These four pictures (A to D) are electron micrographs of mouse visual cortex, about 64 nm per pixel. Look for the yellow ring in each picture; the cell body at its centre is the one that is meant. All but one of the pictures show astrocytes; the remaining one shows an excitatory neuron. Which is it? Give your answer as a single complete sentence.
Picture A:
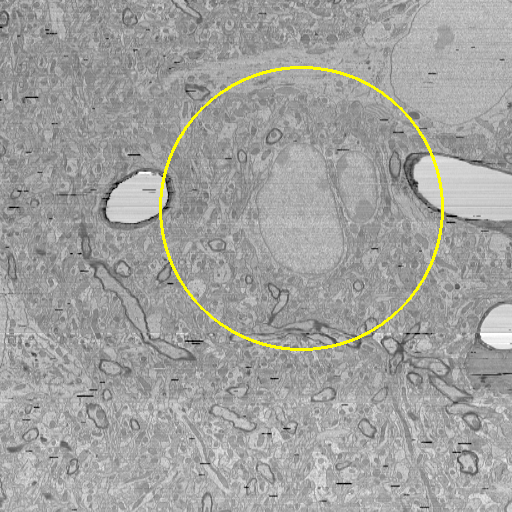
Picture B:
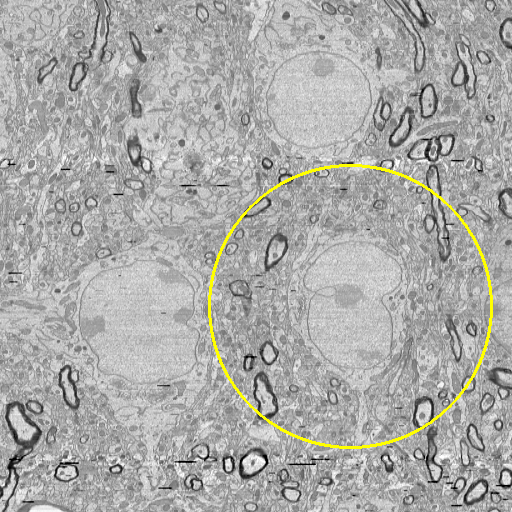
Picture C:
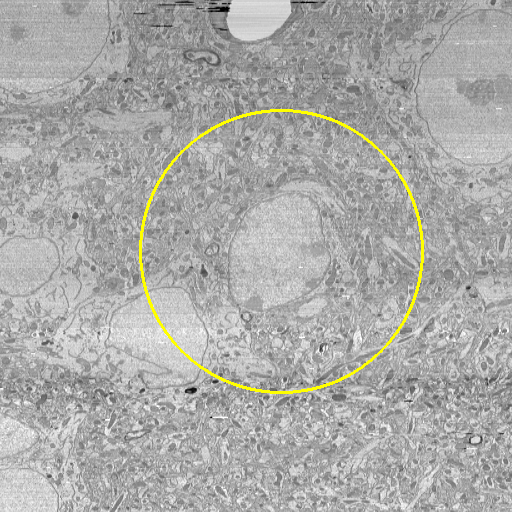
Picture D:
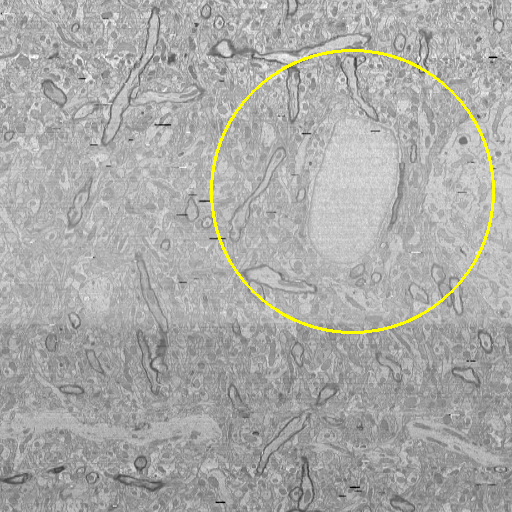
It is picture B that shows the excitatory neuron.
